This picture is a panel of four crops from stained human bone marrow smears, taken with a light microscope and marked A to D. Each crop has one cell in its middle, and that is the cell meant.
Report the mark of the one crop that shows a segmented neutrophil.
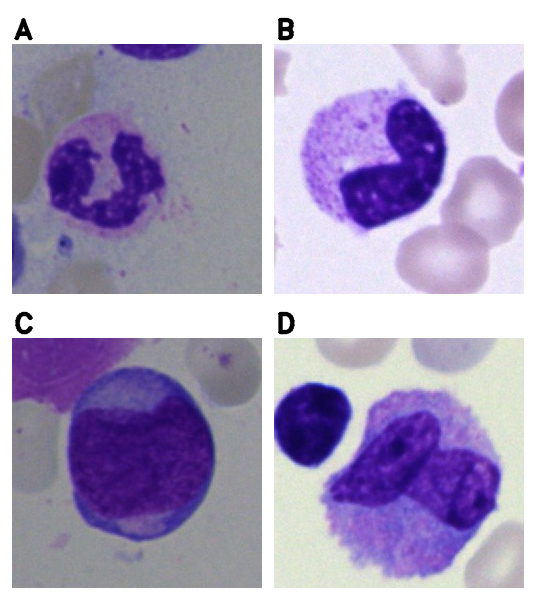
A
